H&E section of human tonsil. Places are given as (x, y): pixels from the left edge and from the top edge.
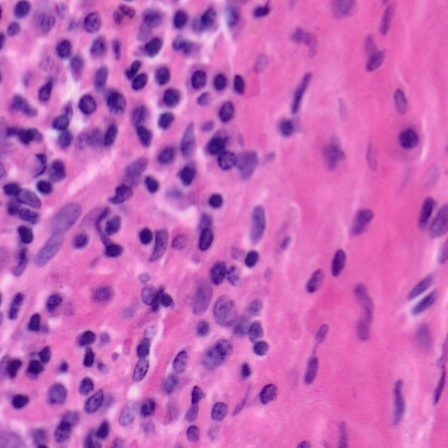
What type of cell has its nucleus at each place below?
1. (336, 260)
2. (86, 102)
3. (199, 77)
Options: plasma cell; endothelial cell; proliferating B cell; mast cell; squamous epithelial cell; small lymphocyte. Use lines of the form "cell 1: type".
cell 1: mast cell
cell 2: plasma cell
cell 3: plasma cell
